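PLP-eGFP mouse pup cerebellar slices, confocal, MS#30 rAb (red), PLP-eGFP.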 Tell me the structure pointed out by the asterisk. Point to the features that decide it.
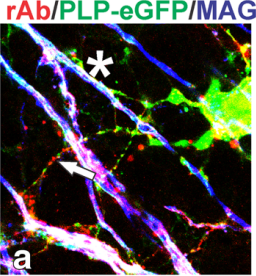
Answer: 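Myelinated axons. The asterisk lies beside long, straight, thick fibres. These fibres are blue and white where colours overlap. They run in parallel bundles across the field.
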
